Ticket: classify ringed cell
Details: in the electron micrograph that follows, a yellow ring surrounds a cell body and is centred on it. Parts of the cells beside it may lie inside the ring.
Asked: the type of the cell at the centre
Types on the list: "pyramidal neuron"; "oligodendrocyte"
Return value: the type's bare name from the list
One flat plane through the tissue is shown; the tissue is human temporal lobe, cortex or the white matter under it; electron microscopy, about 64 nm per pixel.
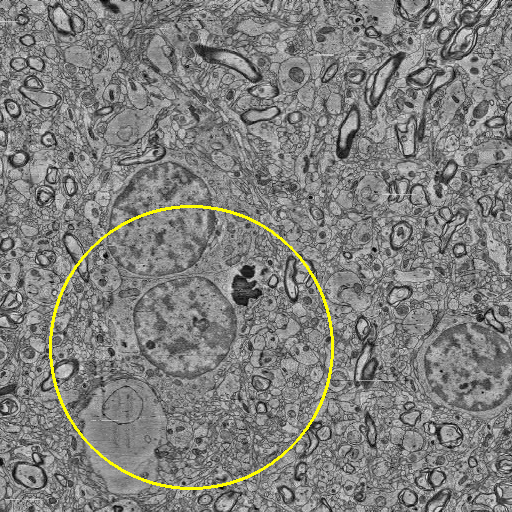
oligodendrocyte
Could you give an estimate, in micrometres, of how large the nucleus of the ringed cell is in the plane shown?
Roughly 7 micrometres across for the nucleus, in this plane.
